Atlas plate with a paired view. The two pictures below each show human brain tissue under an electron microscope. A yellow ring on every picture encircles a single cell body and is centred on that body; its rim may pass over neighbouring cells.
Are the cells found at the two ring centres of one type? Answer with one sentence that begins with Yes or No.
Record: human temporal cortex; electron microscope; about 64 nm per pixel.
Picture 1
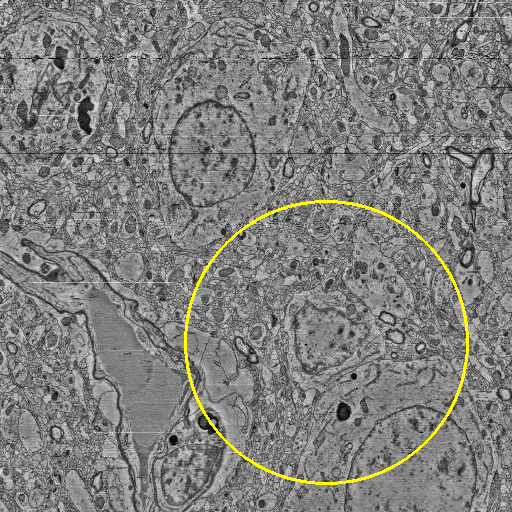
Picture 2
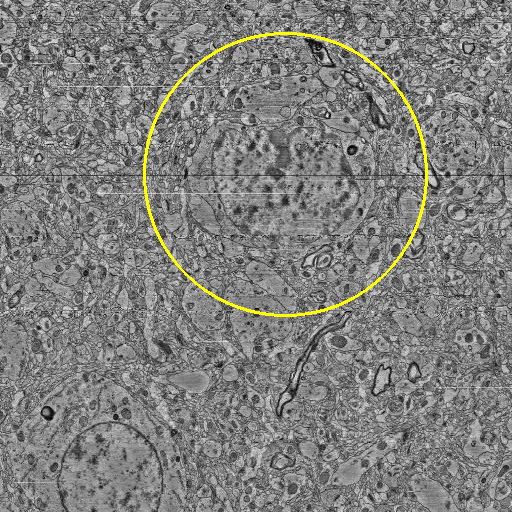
Yes, the two cells lying at the centres of the rings share a single type.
